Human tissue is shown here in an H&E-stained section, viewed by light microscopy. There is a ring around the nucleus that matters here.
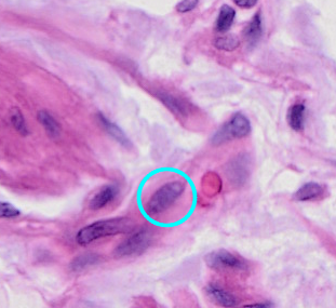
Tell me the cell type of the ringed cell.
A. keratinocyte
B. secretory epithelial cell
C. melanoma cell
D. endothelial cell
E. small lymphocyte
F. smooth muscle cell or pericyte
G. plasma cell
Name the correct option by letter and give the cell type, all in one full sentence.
Option D is the correct one: the ringed cell is an endothelial cell.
